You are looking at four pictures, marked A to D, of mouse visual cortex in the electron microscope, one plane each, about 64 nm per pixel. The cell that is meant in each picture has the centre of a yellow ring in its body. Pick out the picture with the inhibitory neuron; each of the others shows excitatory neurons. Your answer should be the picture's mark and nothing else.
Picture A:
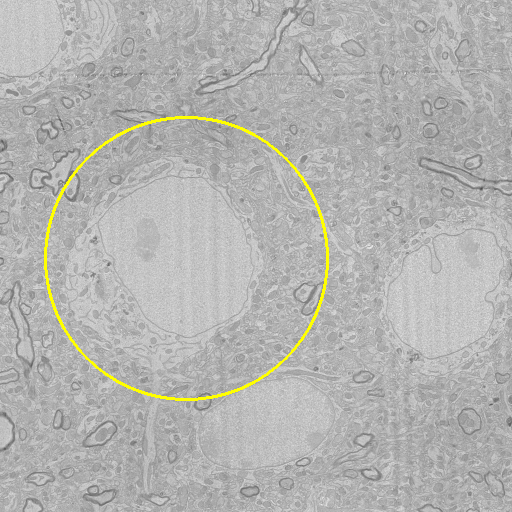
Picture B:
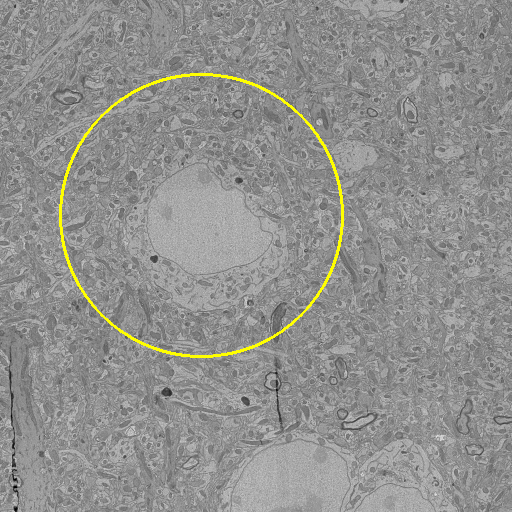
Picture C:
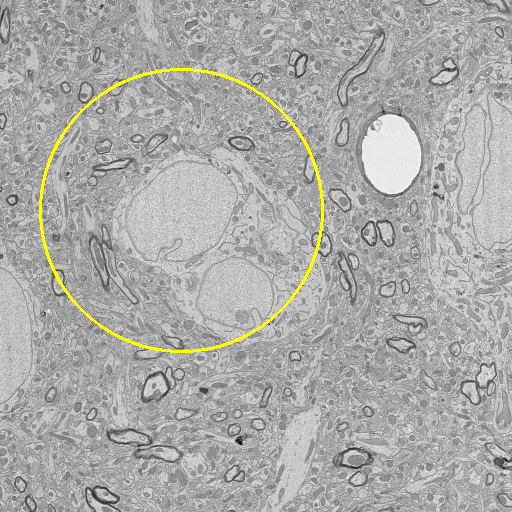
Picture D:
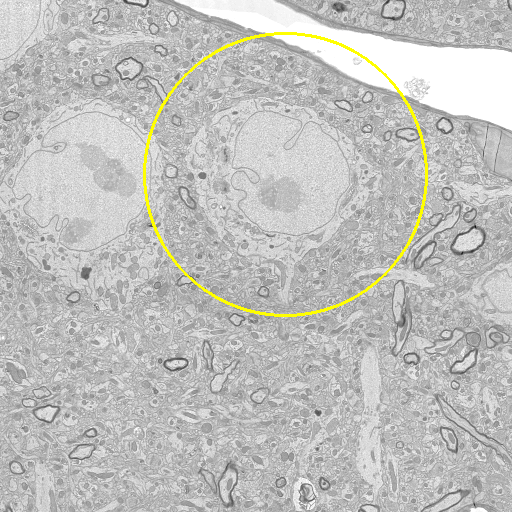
C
